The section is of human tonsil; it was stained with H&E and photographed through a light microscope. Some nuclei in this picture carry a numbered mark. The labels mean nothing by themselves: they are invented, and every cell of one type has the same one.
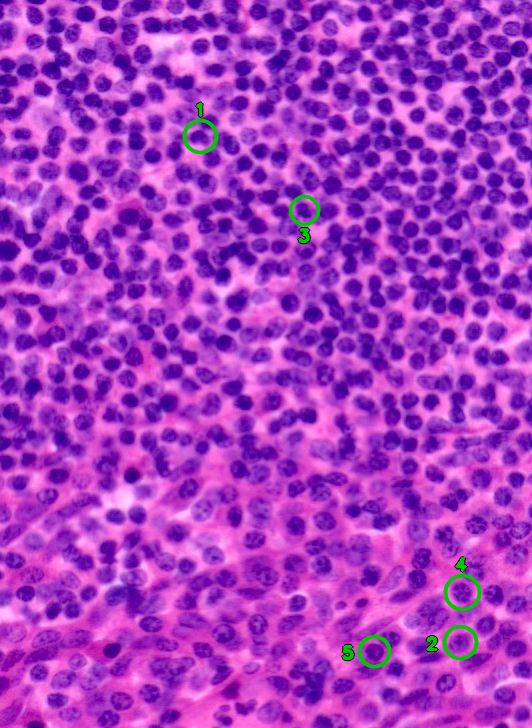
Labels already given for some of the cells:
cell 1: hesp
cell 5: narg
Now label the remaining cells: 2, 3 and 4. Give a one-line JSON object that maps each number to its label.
{"2": "narg", "3": "hesp", "4": "narg"}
